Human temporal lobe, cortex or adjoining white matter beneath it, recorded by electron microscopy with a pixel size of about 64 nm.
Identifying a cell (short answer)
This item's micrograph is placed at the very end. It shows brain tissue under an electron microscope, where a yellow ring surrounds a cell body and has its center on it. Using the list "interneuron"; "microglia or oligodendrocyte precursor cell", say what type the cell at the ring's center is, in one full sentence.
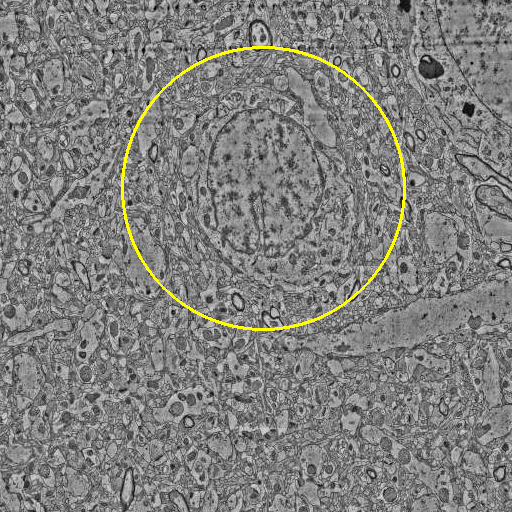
This picture shows an interneuron at the center of the yellow ring drawn on it.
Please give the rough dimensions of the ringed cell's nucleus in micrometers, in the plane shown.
In this plane the nucleus measures roughly 9 by 8 micrometres.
